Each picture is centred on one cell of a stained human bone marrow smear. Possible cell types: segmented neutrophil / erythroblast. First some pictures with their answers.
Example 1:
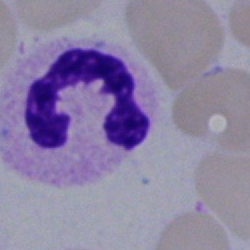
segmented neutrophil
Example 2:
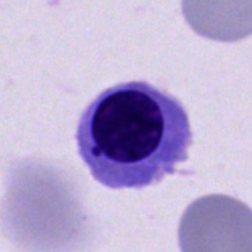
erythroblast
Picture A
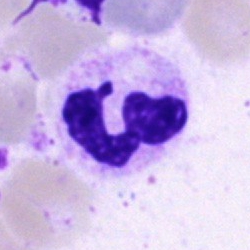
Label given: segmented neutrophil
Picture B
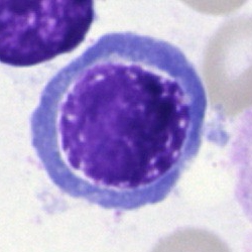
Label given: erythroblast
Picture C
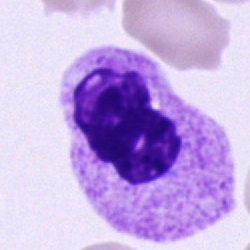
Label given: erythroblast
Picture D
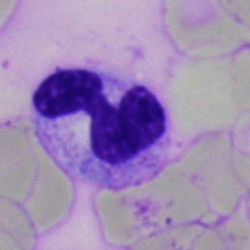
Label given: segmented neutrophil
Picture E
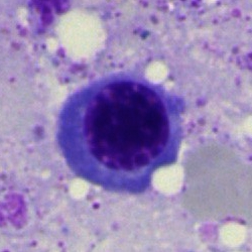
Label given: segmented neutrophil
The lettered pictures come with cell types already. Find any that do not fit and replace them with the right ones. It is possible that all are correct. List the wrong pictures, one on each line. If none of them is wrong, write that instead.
C should be segmented neutrophil, not erythroblast
E should be erythroblast, not segmented neutrophil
